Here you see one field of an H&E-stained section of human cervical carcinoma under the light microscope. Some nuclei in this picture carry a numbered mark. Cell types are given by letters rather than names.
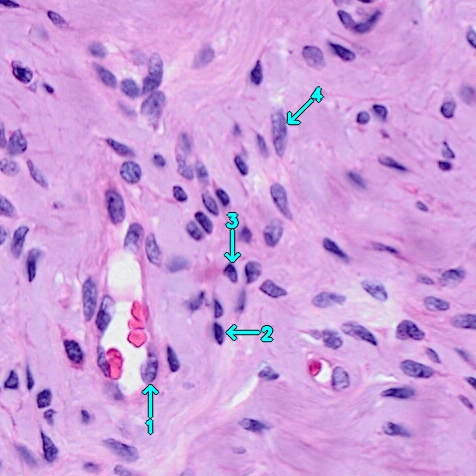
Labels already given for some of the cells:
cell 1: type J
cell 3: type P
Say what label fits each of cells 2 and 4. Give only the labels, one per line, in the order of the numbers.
type P
type P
